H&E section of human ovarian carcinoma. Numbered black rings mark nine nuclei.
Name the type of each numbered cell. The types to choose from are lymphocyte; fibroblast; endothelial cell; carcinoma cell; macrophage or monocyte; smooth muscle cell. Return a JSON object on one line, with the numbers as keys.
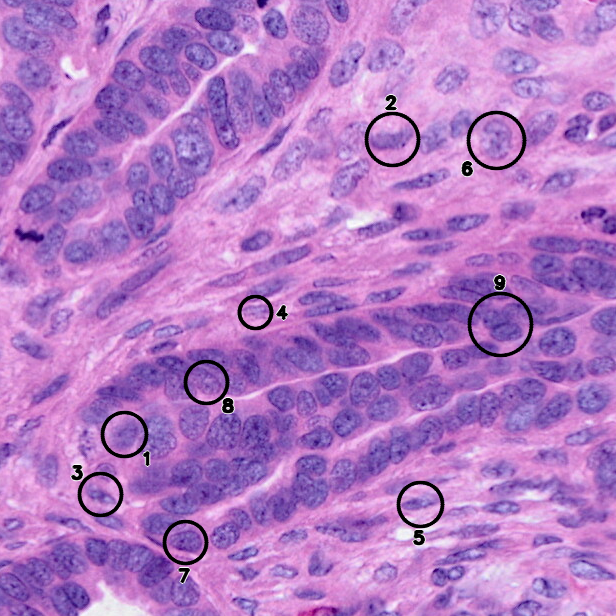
{"1": "carcinoma cell", "2": "fibroblast", "3": "fibroblast", "4": "fibroblast", "5": "fibroblast", "6": "fibroblast", "7": "carcinoma cell", "8": "carcinoma cell", "9": "carcinoma cell"}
